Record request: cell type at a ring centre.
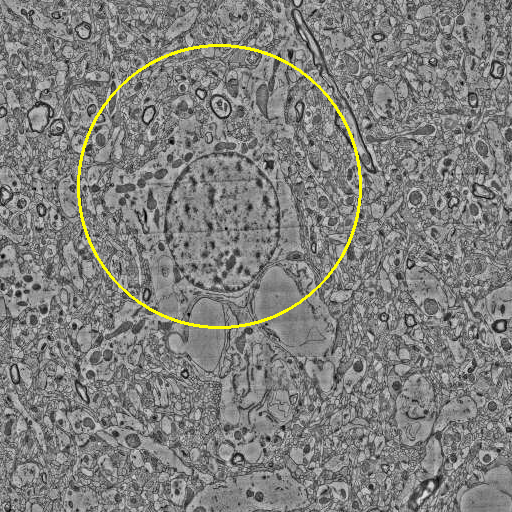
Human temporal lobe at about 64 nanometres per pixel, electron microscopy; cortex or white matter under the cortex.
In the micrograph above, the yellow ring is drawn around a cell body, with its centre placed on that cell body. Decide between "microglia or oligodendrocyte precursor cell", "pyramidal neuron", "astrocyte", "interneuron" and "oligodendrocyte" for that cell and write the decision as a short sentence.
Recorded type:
The cell centred in the yellow ring is an astrocyte.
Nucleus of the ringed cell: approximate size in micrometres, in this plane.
Roughly 9 by 7 micrometres in this plane, for the nucleus of the ringed cell.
